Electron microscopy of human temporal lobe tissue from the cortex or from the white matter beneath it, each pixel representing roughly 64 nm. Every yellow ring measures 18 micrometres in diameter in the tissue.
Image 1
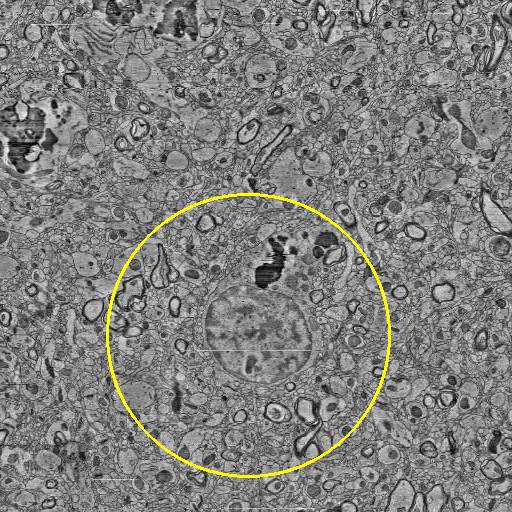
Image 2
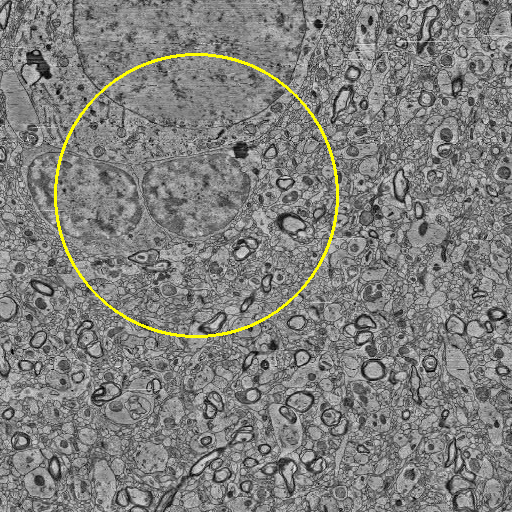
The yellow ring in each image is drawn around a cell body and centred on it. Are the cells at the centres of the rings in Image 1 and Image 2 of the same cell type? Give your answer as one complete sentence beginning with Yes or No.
Yes, both cells are of the same type.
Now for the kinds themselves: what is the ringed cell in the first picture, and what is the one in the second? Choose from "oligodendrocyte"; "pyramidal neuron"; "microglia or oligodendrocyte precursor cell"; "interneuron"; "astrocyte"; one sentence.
Each of the two rings surrounds an oligodendrocyte.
